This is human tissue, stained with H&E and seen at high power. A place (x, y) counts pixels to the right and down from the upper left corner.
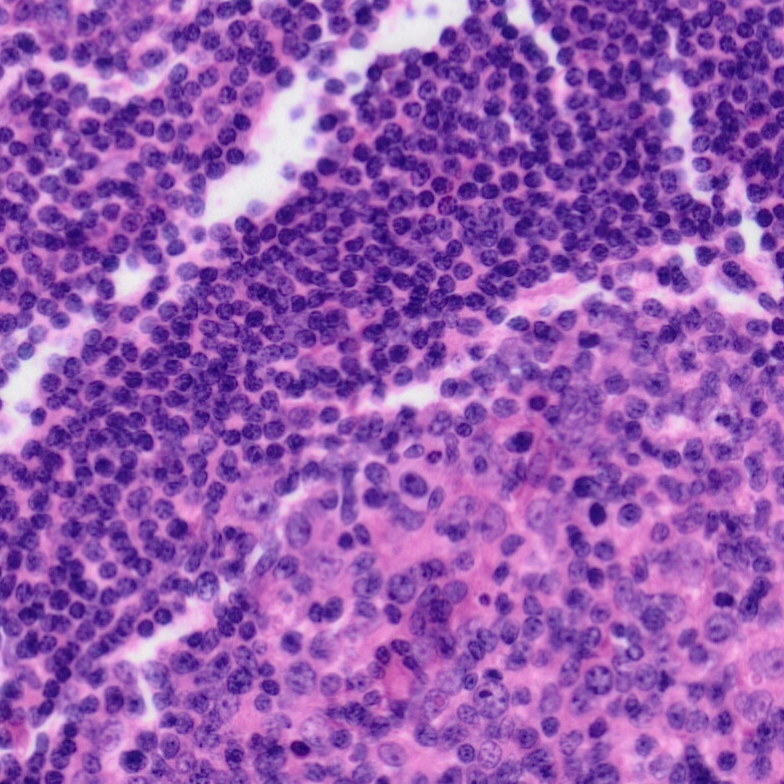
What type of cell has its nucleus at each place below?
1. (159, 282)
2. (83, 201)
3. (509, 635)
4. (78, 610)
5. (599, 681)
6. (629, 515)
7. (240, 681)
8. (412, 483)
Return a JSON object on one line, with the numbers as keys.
{"1": "small lymphocyte", "2": "small lymphocyte", "3": "proliferating B cell", "4": "small lymphocyte", "5": "proliferating B cell", "6": "proliferating B cell", "7": "proliferating B cell", "8": "proliferating B cell"}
